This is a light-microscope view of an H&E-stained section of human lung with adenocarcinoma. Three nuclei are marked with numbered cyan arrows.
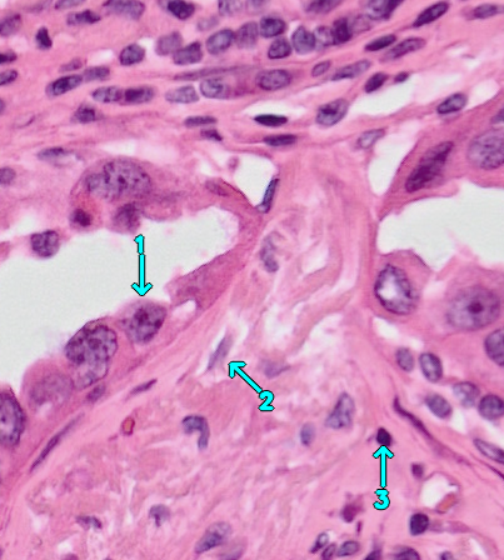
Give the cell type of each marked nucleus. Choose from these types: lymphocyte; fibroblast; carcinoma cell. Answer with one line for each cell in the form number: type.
1: carcinoma cell
2: fibroblast
3: lymphocyte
